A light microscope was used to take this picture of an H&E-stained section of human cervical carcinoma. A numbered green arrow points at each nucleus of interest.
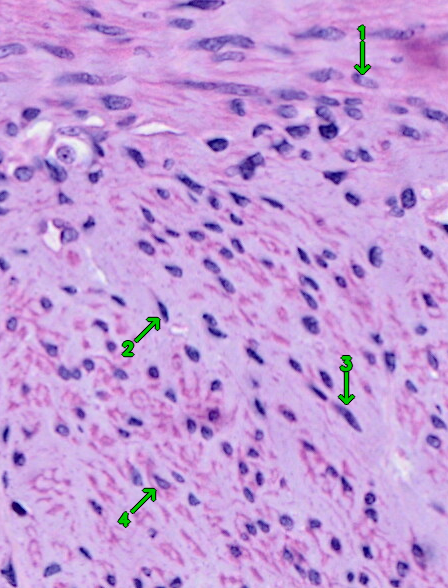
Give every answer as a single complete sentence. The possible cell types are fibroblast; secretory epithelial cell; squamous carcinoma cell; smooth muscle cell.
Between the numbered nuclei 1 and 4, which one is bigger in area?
It is nucleus 1, which covers about 1.5 times the area of nucleus 4.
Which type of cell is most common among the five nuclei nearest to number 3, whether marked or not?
Of the five nuclei nearest to number 3, most belong to smooth muscle cells.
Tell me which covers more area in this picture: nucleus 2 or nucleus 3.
Nucleus 3 is the larger one, covering about 2 times the area of nucleus 2.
